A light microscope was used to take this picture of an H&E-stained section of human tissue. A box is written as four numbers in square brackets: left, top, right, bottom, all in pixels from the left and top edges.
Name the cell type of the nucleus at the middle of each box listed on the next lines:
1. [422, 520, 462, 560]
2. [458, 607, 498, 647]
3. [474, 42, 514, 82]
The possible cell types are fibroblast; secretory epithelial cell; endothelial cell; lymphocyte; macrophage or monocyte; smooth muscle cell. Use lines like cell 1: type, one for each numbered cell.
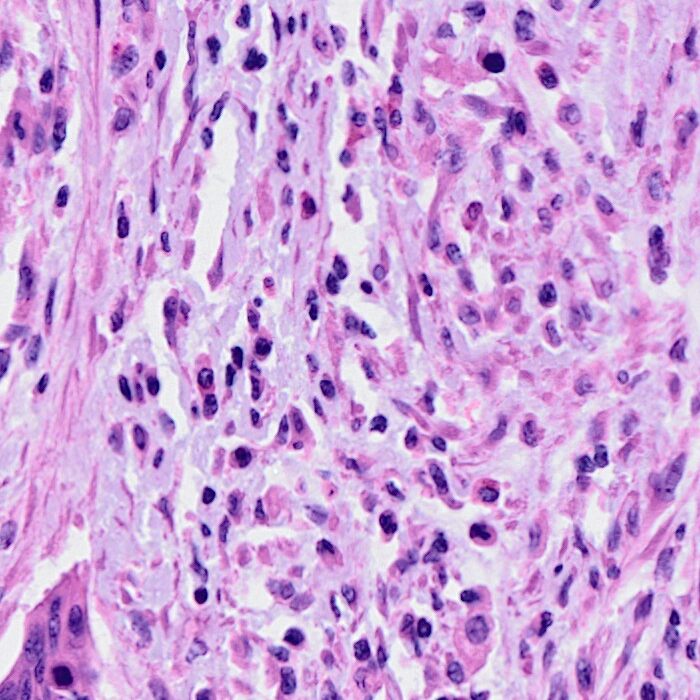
cell 1: lymphocyte
cell 2: macrophage or monocyte
cell 3: lymphocyte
